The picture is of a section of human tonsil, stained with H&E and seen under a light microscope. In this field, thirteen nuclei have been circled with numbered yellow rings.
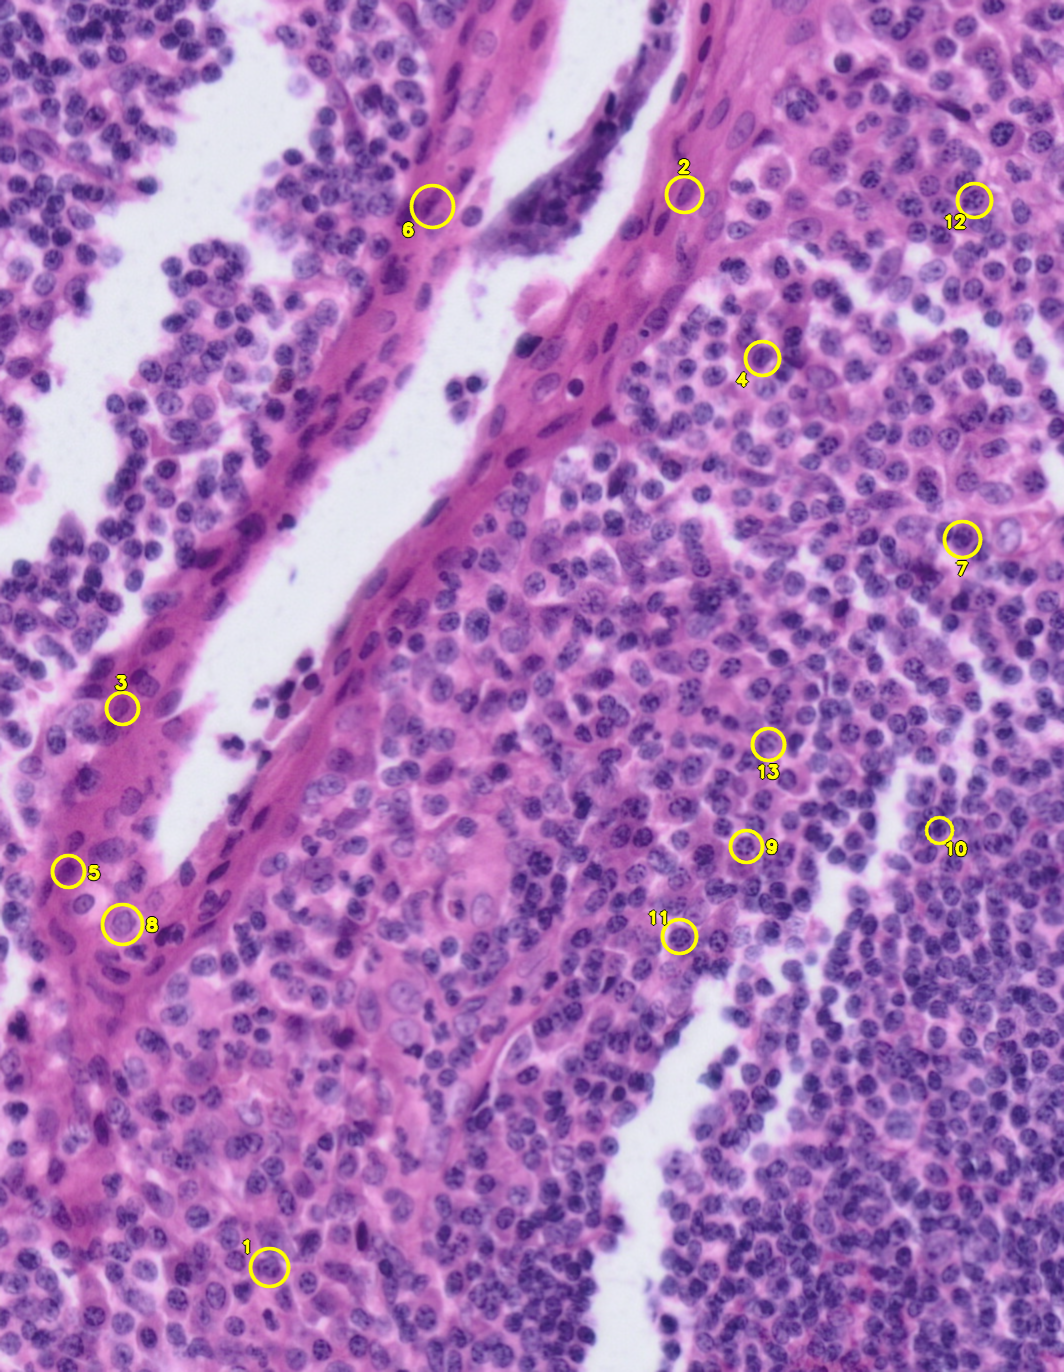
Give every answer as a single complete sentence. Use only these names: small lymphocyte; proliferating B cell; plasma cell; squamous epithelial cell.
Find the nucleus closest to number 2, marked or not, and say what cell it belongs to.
The nearest nucleus to number 2 belongs to a squamous epithelial cell.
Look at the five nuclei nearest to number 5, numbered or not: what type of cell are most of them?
Of the five nuclei nearest to number 5, most belong to squamous epithelial cells.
